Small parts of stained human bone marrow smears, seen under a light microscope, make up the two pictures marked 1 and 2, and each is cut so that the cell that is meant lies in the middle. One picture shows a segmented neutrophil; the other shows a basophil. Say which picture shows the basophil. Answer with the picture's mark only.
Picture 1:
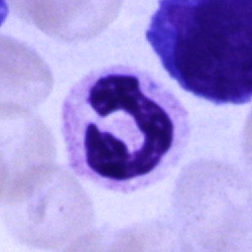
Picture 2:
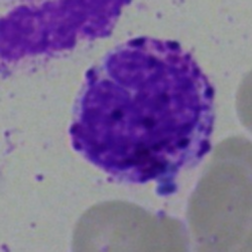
2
